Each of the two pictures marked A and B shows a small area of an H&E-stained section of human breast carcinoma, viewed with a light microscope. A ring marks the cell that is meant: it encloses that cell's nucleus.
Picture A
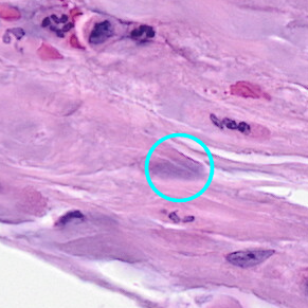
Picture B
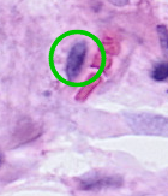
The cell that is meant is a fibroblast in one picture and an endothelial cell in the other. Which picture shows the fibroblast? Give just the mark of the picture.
A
